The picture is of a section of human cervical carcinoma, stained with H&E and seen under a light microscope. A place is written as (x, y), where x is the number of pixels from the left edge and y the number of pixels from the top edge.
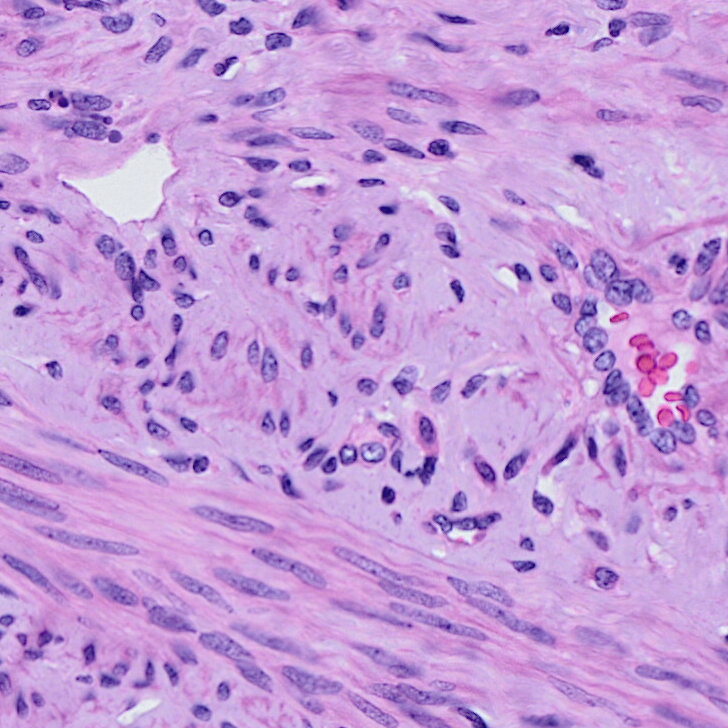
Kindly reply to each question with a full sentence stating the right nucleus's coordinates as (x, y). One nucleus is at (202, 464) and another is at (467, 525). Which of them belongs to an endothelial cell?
Of the two, the nucleus lying at (467, 525) is the one belonging to an endothelial cell.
